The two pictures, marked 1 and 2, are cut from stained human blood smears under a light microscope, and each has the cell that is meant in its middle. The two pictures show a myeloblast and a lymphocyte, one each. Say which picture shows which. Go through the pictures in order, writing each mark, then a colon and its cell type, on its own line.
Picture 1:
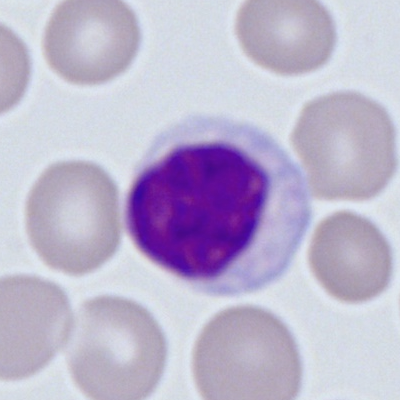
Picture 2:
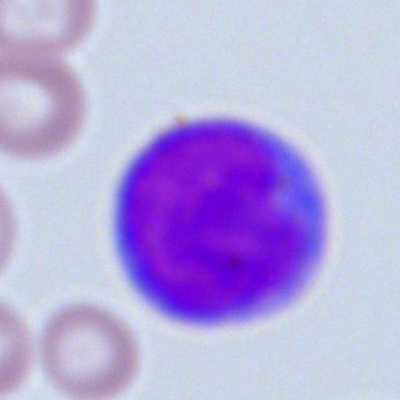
1: lymphocyte
2: myeloblast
